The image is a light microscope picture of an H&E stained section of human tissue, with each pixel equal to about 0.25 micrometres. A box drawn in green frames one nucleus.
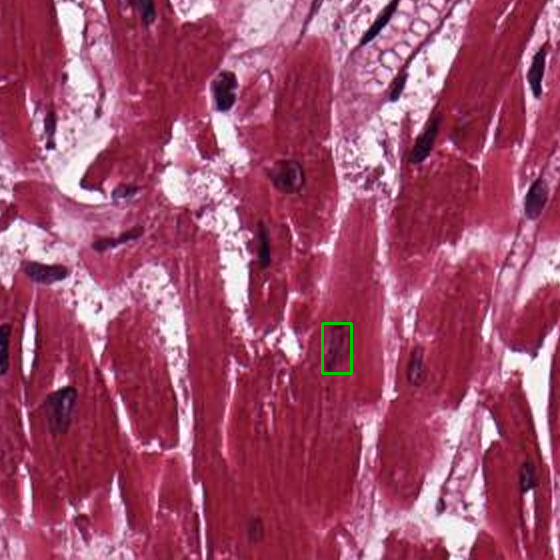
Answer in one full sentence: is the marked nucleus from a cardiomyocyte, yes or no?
Yes, in this section the marked nucleus belongs to a cardiomyocyte.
